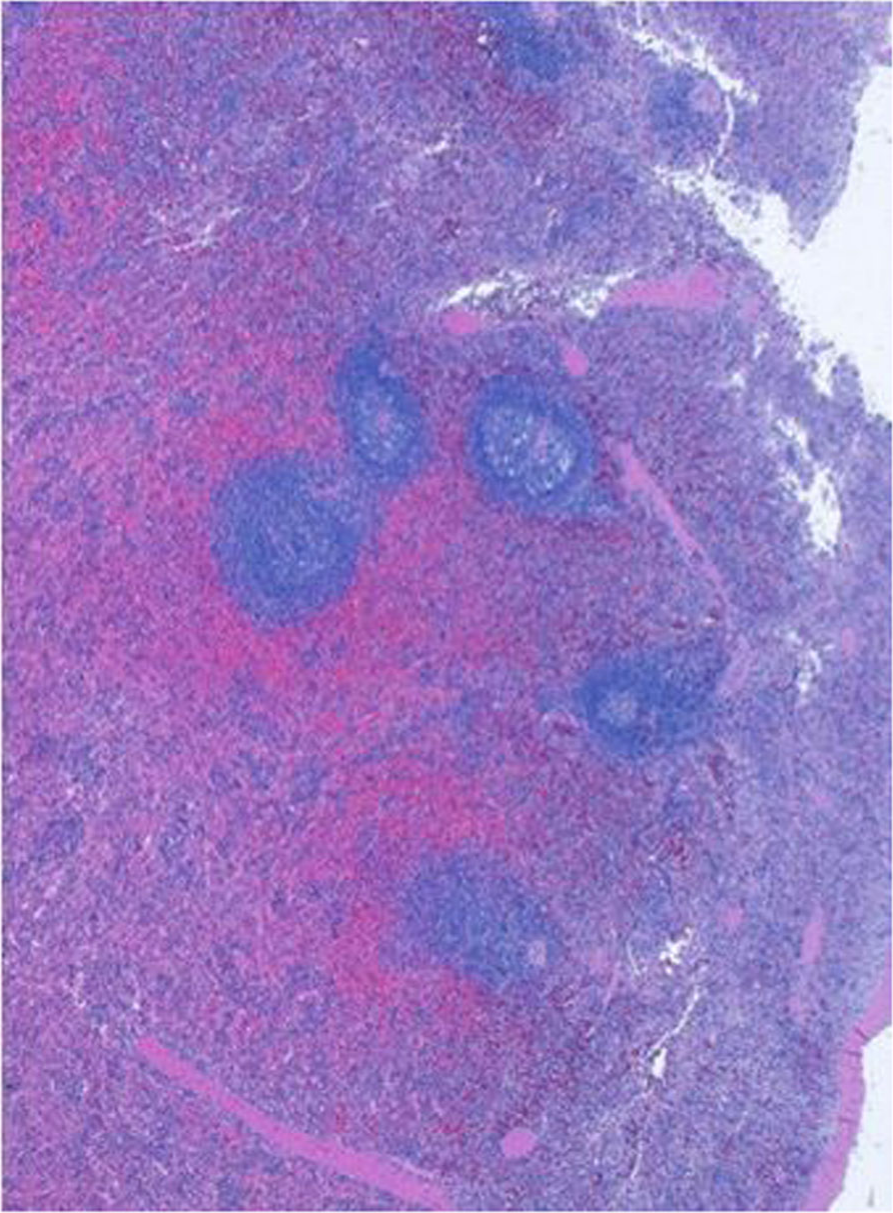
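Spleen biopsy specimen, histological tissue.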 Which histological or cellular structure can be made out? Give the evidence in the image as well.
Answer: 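Several round, dense blue lymphoid nodules lie in the centre of the section. Some nodules have a paler central zone ringed by a darker blue rim. The answer: secondary follicles.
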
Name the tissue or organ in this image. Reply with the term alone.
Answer: white pulp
